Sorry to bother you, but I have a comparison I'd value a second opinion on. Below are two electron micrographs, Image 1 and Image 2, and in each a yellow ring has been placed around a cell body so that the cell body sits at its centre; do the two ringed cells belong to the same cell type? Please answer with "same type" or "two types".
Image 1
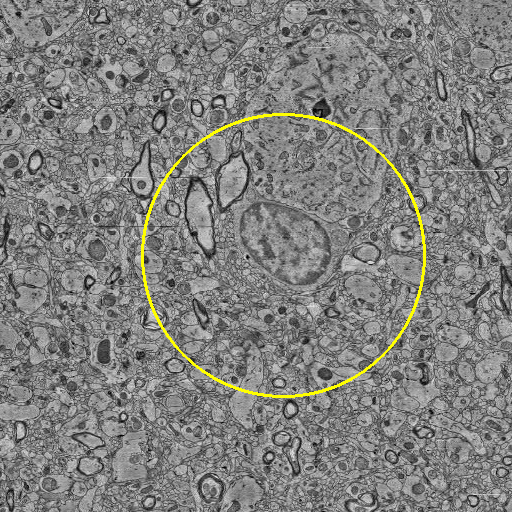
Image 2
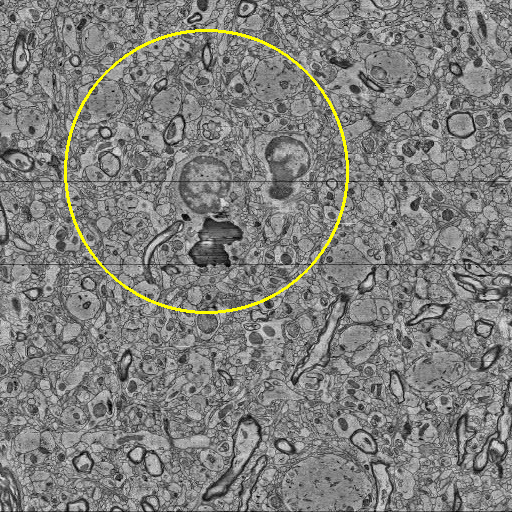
same type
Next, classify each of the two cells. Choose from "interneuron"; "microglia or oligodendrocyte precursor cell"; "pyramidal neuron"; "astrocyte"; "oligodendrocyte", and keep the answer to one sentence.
Each of the two rings surrounds an oligodendrocyte.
